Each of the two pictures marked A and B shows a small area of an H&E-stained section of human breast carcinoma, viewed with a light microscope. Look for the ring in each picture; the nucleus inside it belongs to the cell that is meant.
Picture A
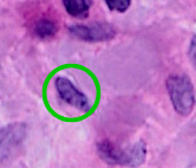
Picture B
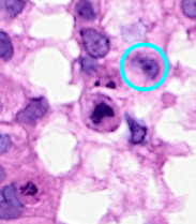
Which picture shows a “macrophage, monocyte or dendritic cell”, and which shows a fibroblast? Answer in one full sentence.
Picture A is of a fibroblast, and picture B is of a “macrophage, monocyte or dendritic cell”.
